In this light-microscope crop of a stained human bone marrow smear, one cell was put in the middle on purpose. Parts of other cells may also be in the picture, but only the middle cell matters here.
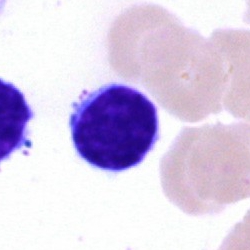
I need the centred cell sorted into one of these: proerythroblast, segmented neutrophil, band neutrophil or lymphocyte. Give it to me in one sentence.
The cell shown in the center of this light-microscope crop is a lymphocyte.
